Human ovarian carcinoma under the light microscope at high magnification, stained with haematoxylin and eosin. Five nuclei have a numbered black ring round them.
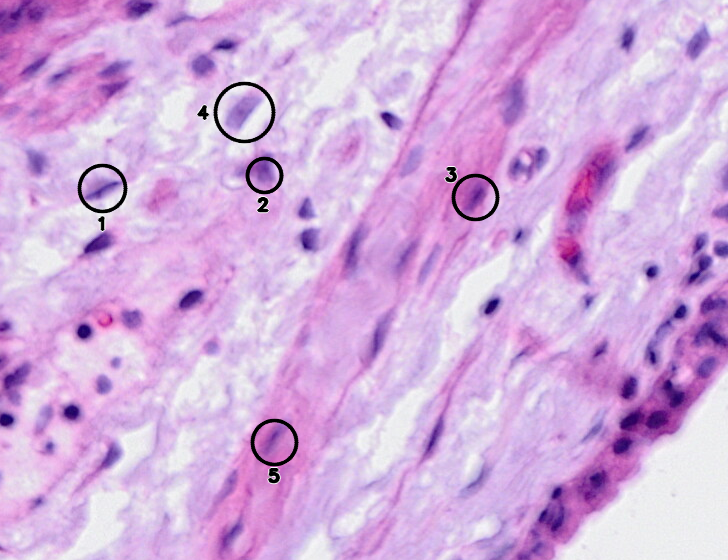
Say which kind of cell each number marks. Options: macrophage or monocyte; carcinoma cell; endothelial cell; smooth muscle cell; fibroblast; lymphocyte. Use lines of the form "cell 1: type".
cell 1: fibroblast
cell 2: fibroblast
cell 3: smooth muscle cell
cell 4: fibroblast
cell 5: smooth muscle cell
